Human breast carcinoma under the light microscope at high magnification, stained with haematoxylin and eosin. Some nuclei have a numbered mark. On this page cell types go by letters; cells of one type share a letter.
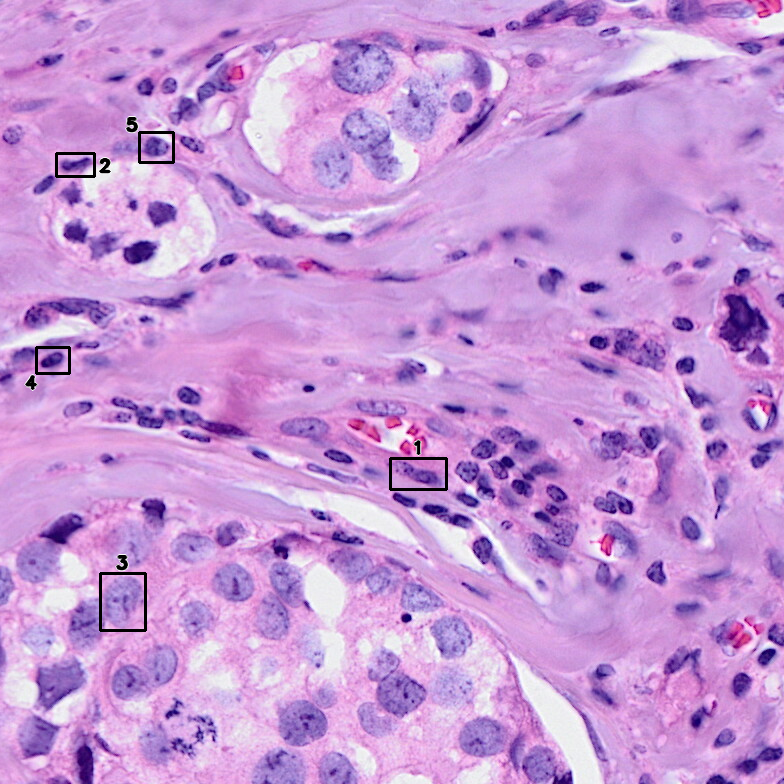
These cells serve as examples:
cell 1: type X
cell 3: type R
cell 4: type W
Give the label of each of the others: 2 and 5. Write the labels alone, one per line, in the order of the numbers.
type W
type W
